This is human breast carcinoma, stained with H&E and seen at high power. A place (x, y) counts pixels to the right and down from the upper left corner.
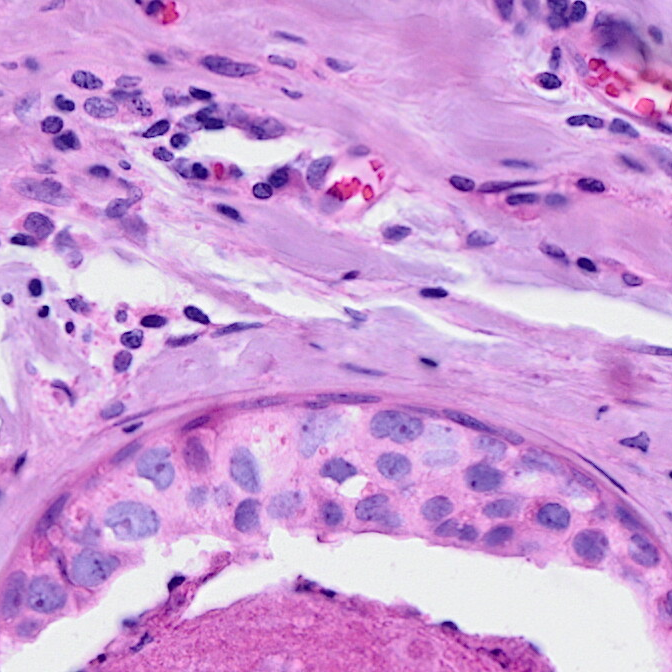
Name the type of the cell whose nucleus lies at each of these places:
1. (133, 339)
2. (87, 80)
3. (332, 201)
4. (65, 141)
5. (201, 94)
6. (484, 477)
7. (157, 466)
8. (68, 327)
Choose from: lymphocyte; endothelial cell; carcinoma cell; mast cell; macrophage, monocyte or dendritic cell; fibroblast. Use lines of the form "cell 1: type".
cell 1: lymphocyte
cell 2: mast cell
cell 3: endothelial cell
cell 4: lymphocyte
cell 5: lymphocyte
cell 6: carcinoma cell
cell 7: carcinoma cell
cell 8: lymphocyte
